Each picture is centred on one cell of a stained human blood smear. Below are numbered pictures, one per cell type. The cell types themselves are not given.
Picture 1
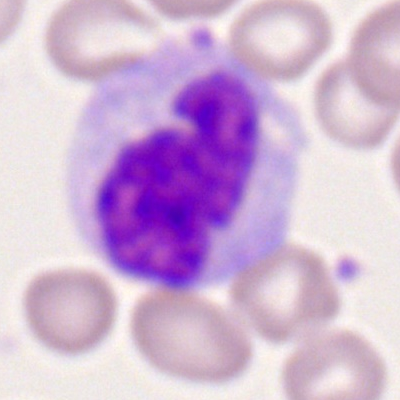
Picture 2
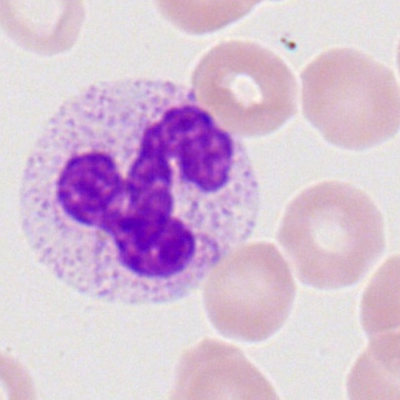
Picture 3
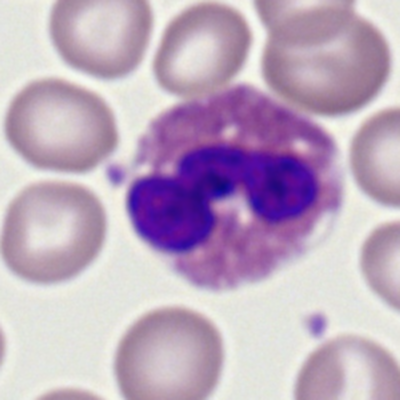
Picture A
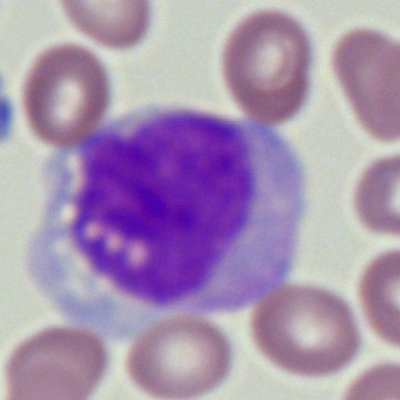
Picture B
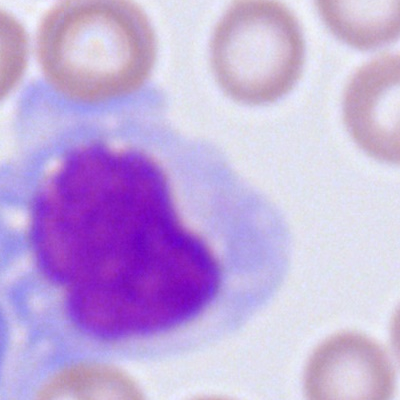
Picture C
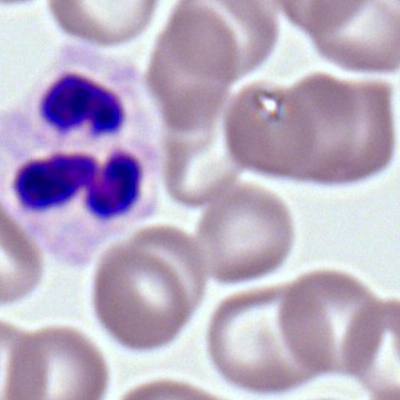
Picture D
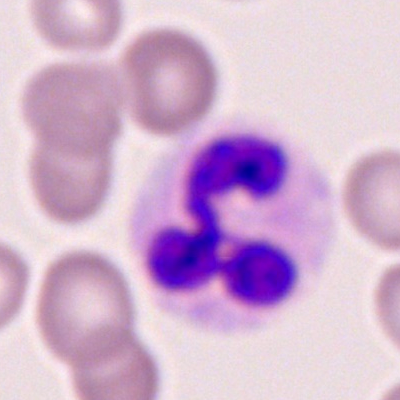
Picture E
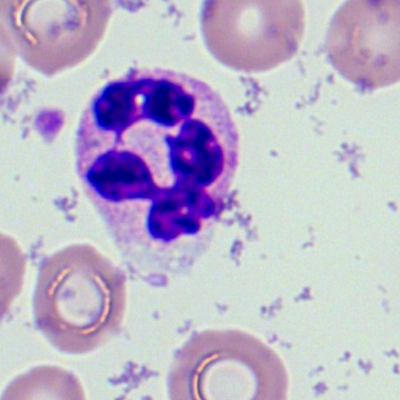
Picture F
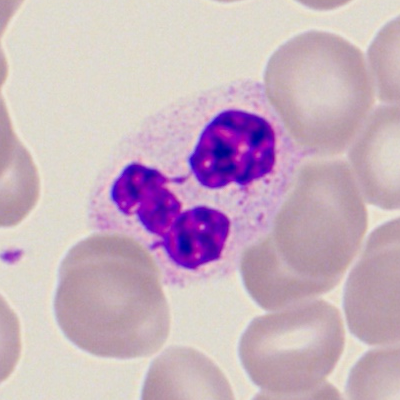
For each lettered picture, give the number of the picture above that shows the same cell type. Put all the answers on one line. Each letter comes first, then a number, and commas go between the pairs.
A 1, B 1, C 2, D 2, E 2, F 2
